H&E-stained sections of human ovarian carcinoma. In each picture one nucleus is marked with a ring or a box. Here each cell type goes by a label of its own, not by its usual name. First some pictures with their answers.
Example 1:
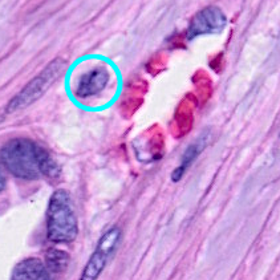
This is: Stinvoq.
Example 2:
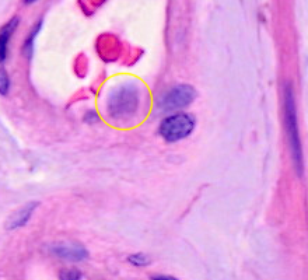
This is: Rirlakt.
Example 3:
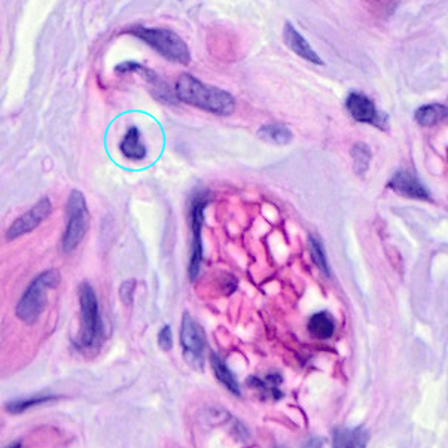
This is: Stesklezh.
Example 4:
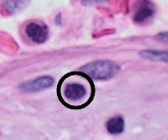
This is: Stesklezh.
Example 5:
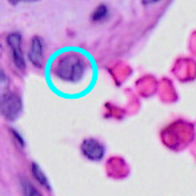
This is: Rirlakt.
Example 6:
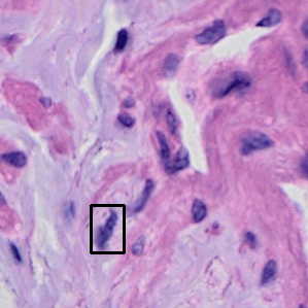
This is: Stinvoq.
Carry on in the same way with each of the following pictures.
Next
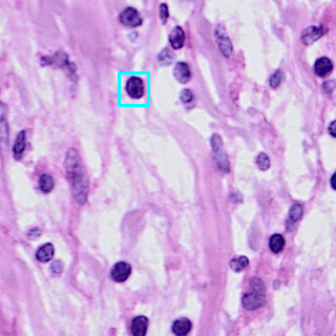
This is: Stesklezh.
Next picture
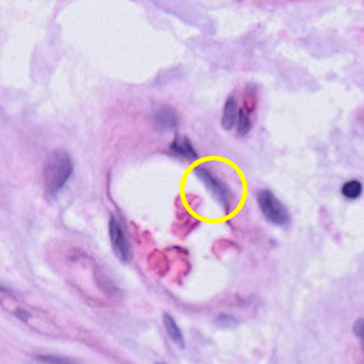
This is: Rirlakt.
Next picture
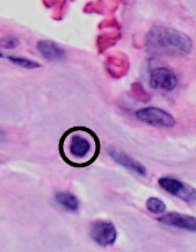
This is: Stesklezh.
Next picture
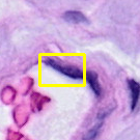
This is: Rirlakt.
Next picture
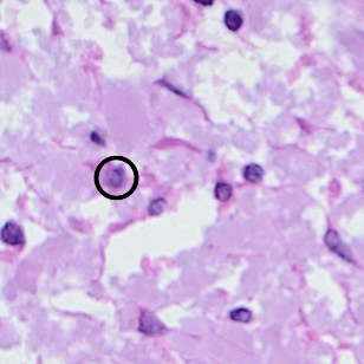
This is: Stinvoq.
